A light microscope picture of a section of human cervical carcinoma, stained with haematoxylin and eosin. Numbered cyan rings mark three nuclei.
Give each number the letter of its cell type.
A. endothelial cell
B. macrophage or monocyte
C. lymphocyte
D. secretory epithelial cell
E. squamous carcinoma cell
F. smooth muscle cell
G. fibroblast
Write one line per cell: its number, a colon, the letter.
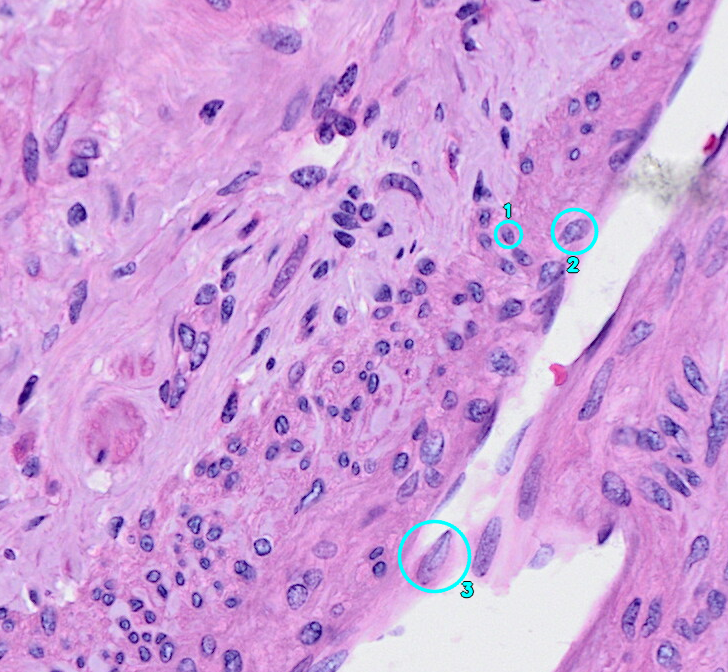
1: F
2: F
3: A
